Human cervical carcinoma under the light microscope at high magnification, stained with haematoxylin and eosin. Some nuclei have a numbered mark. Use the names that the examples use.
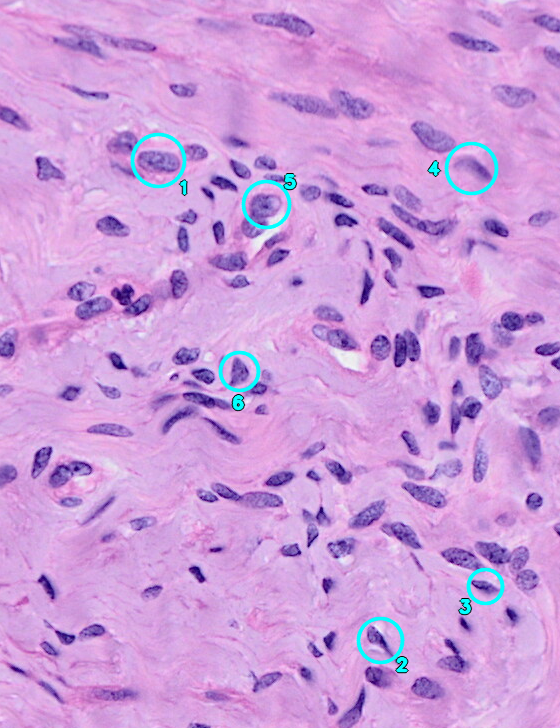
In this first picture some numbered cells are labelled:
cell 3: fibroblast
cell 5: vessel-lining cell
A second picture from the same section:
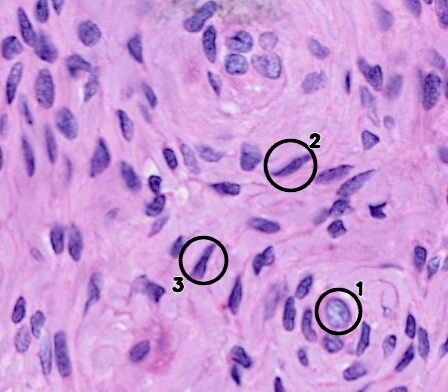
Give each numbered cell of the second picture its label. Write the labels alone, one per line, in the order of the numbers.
vessel-lining cell
fibroblast
fibroblast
